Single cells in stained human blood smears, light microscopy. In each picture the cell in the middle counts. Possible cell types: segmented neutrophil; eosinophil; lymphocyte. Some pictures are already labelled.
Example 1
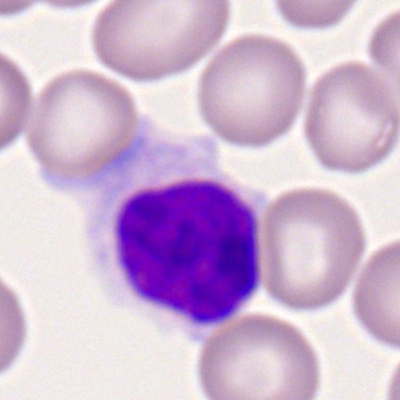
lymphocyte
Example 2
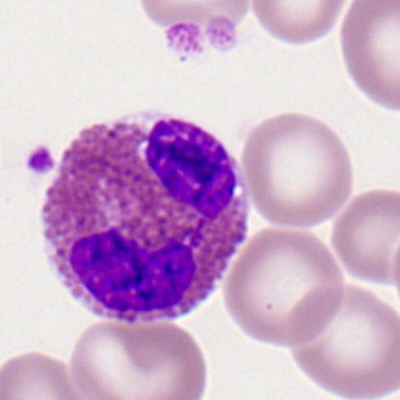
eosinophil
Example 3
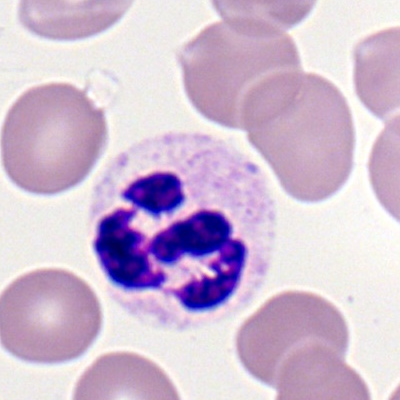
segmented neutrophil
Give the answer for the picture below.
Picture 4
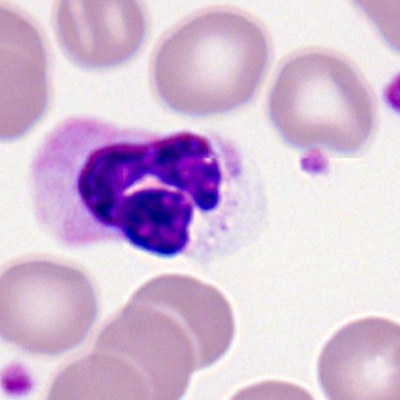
segmented neutrophil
